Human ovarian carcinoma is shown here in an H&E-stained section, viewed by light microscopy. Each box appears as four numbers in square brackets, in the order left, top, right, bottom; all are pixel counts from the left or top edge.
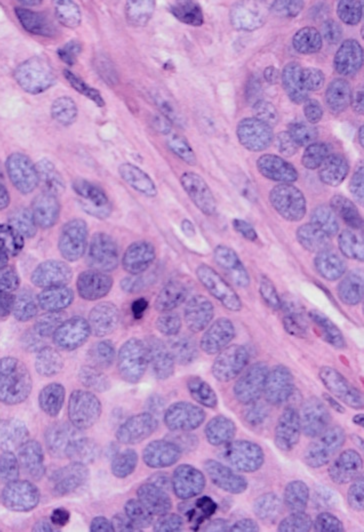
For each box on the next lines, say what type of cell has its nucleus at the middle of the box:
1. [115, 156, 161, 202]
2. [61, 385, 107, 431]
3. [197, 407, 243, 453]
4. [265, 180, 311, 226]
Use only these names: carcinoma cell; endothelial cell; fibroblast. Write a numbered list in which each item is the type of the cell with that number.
1. fibroblast
2. carcinoma cell
3. carcinoma cell
4. carcinoma cell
